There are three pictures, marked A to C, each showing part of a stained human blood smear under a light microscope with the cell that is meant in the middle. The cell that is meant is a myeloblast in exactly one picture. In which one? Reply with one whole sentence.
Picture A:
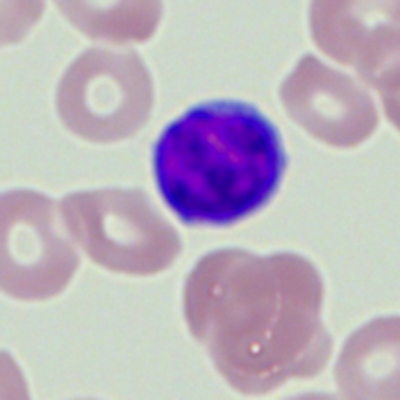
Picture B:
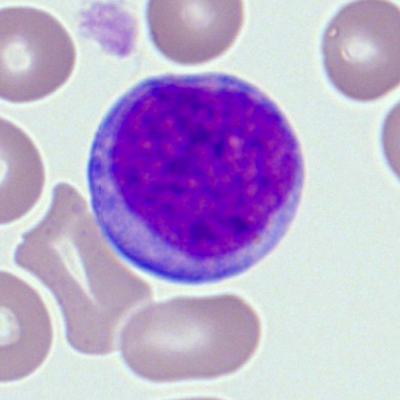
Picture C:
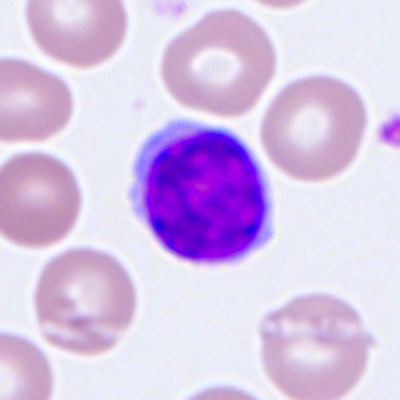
Picture B shows the myeloblast.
